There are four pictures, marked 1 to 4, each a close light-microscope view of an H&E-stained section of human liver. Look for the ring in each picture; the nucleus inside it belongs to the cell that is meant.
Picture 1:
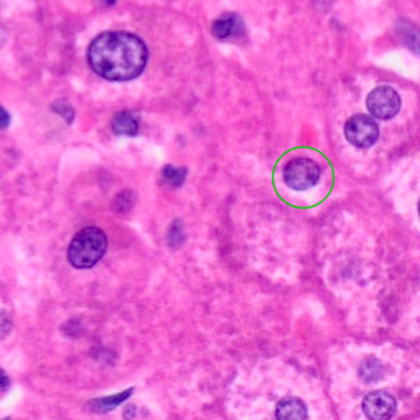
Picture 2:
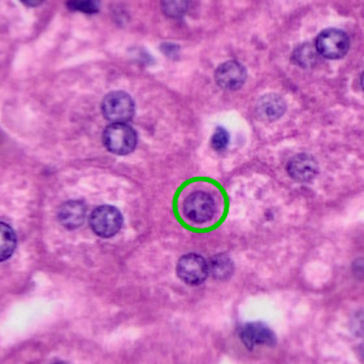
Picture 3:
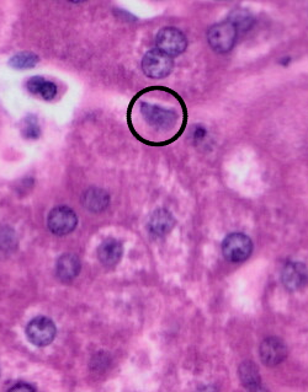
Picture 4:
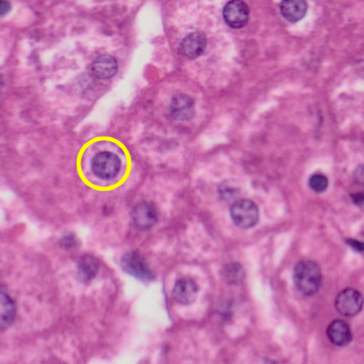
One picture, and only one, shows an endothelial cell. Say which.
3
